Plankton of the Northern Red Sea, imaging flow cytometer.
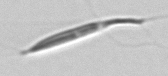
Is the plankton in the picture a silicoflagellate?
No, it is Calciosolenia.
